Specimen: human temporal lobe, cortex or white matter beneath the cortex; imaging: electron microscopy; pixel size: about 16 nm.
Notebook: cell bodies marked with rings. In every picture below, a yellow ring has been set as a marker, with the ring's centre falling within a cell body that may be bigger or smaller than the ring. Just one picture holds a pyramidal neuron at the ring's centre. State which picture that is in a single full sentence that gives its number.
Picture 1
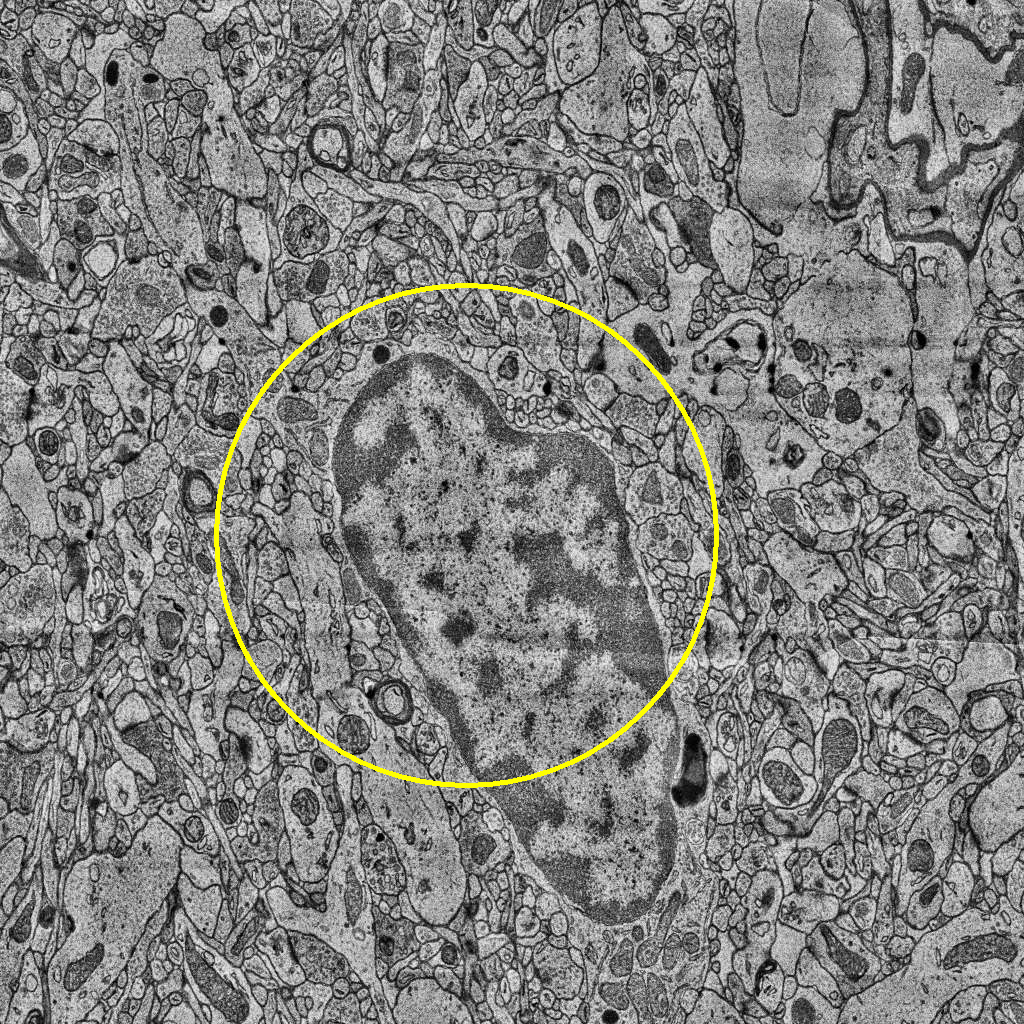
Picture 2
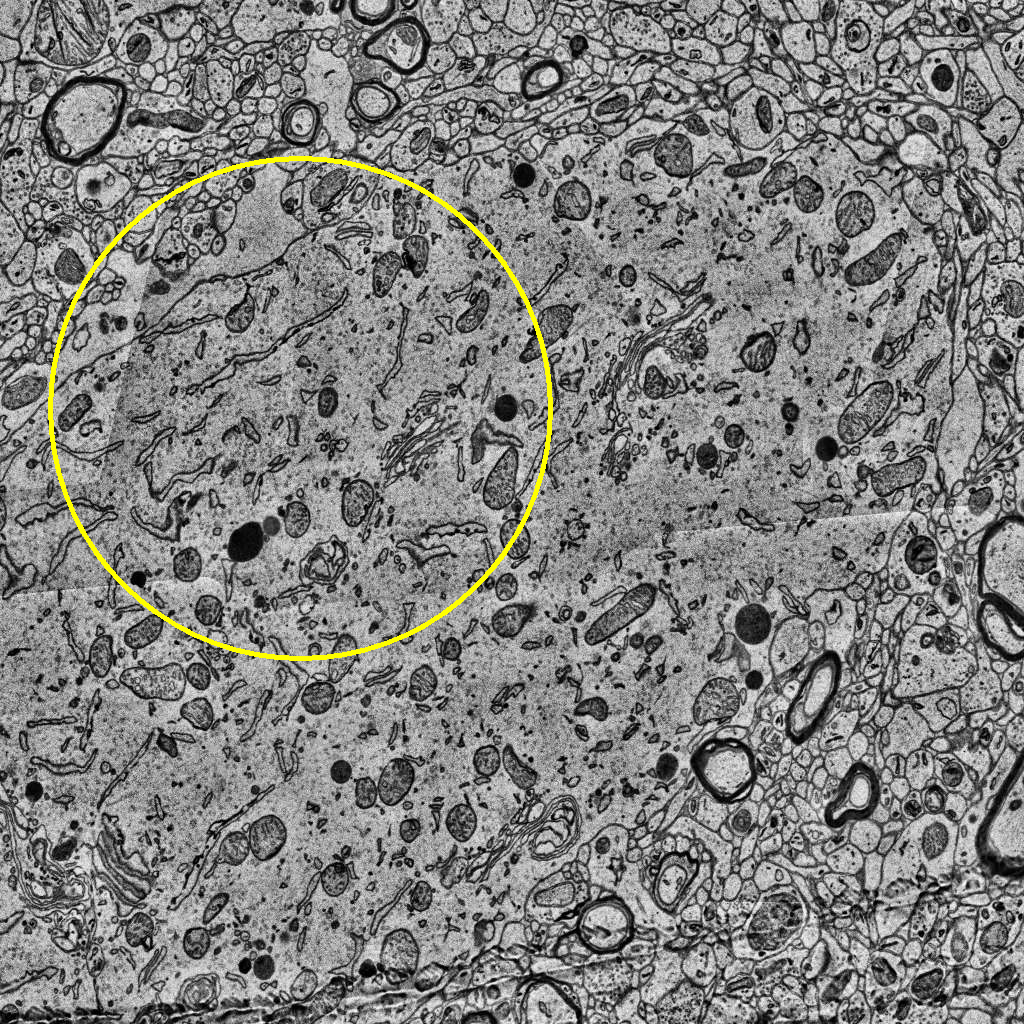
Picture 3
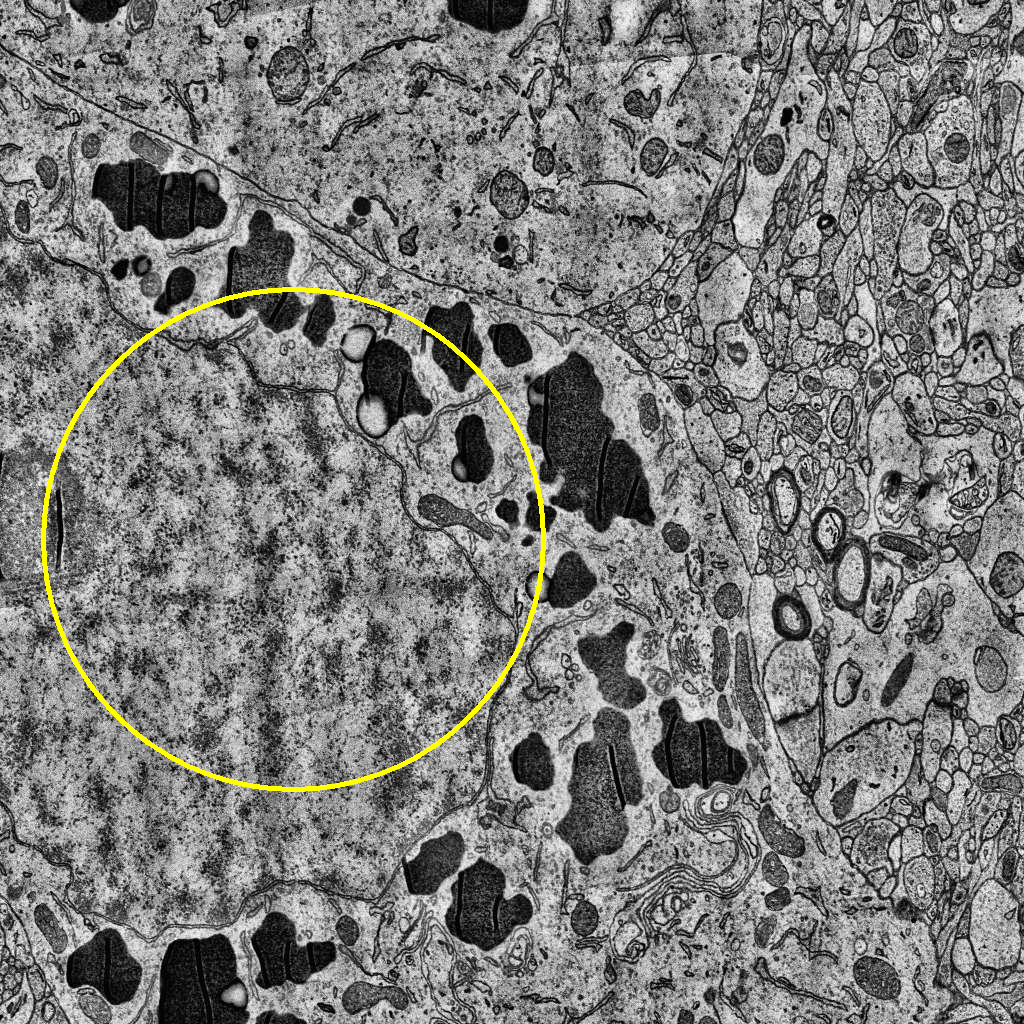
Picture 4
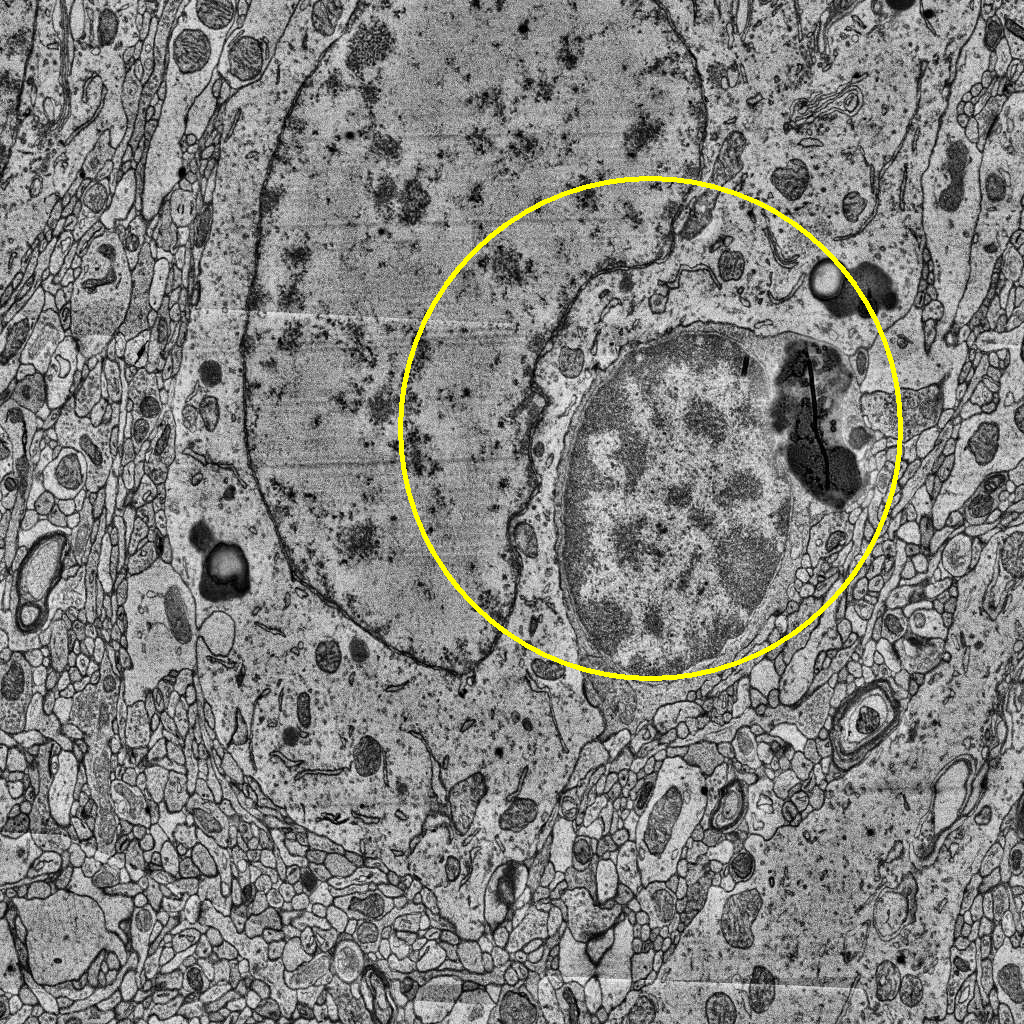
It is picture 2 whose ring has the wanted cell right at its centre.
